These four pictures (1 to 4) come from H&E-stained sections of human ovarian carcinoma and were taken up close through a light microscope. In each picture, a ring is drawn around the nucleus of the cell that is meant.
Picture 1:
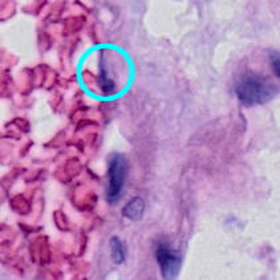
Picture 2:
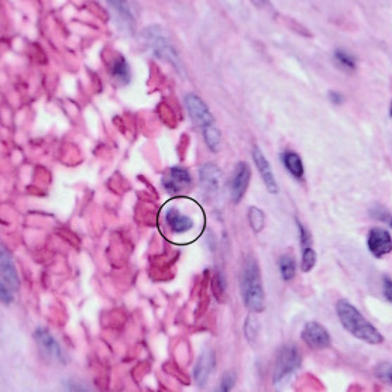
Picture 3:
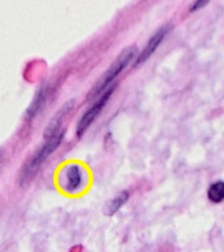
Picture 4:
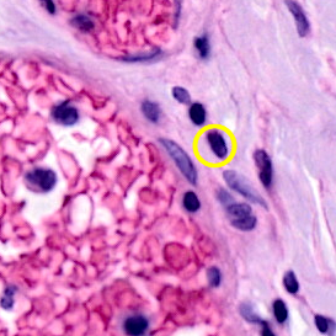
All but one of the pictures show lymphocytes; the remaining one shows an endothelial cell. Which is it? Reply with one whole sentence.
It is picture 1 that shows the endothelial cell.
